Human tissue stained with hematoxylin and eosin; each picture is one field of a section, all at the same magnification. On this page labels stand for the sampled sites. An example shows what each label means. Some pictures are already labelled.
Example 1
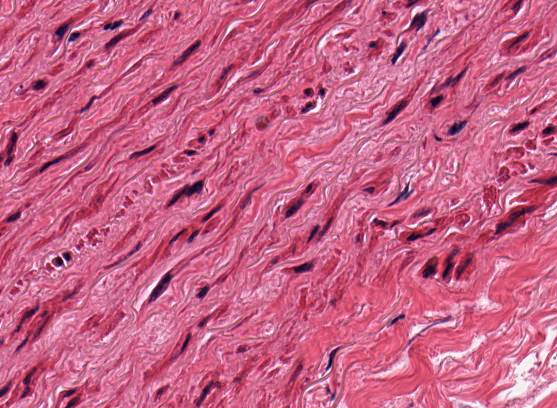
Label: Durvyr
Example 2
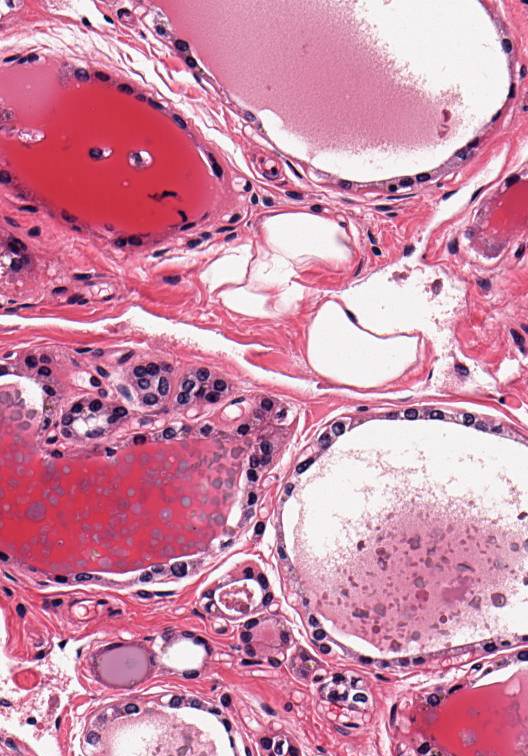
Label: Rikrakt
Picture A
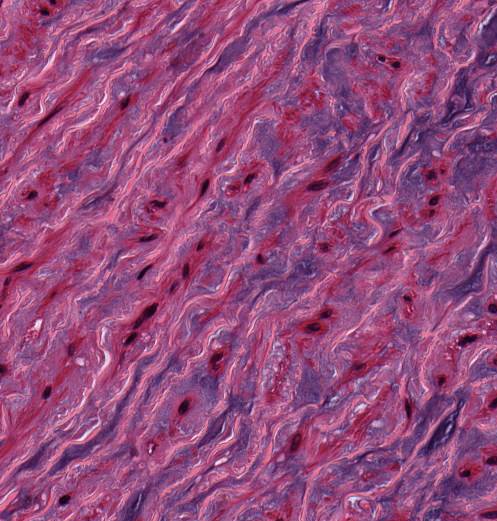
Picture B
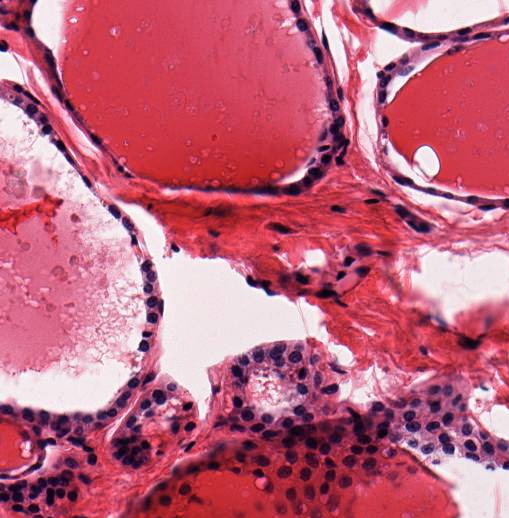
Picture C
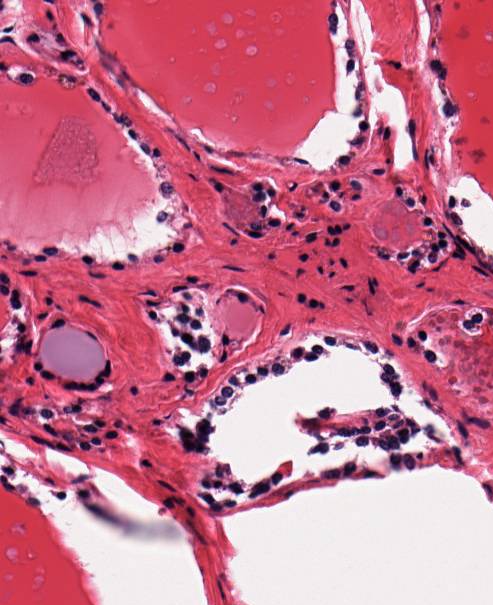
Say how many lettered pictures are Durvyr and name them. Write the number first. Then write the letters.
1: A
